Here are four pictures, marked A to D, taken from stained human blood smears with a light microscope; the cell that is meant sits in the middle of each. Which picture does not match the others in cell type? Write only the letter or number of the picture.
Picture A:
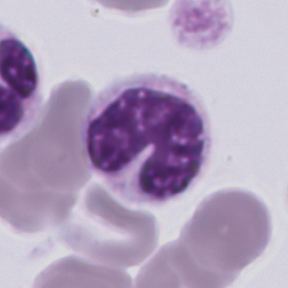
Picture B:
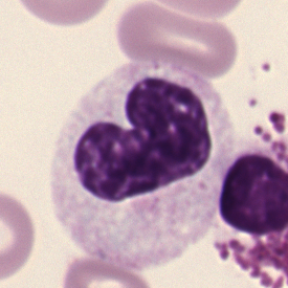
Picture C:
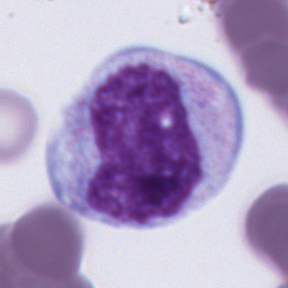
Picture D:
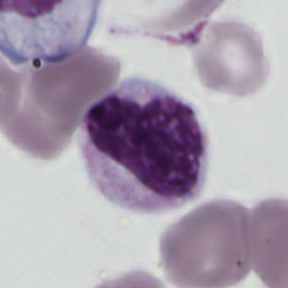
C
